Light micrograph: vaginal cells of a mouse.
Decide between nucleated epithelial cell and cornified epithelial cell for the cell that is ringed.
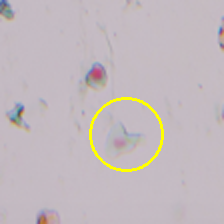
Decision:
I take the ringed cell for a nucleated epithelial cell.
